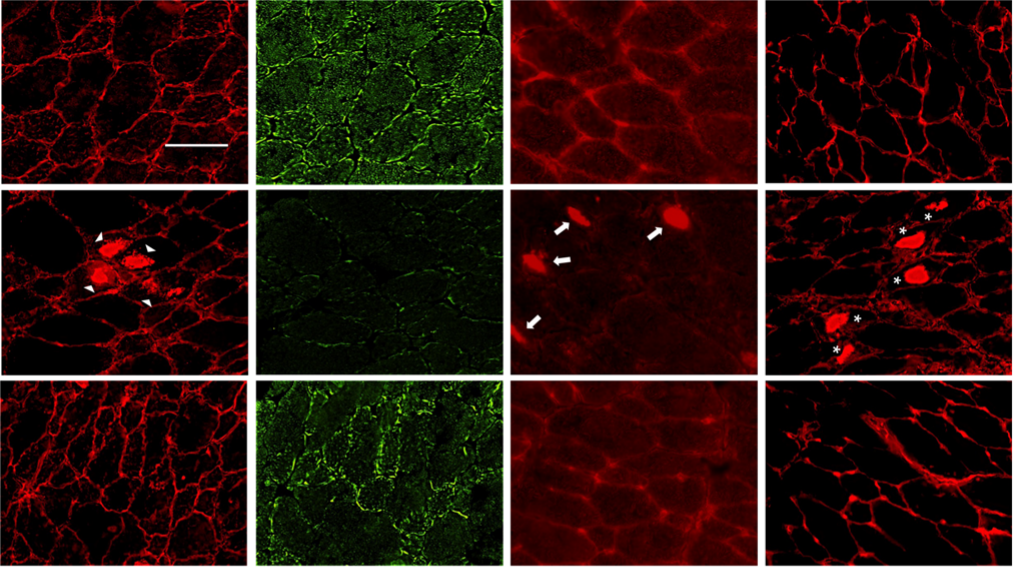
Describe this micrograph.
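This is a grid of transverse sections through skeletal muscle, each showing the cross-cut profiles of many myofibers. The fibers appear as polygonal dark or dimly filled areas, packed side by side, each outlined by a bright red or green rim at its border. Inside the fibers a fine, faint network of staining can be made out in several of the images. In the middle row the tidy pattern is disrupted: discrete bright red clumps, marked by arrowheads, arrows and asterisks, lie in small areas between or at the edges of fibers. The green staining in the middle row is clearly fainter than in the rows above and below it.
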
